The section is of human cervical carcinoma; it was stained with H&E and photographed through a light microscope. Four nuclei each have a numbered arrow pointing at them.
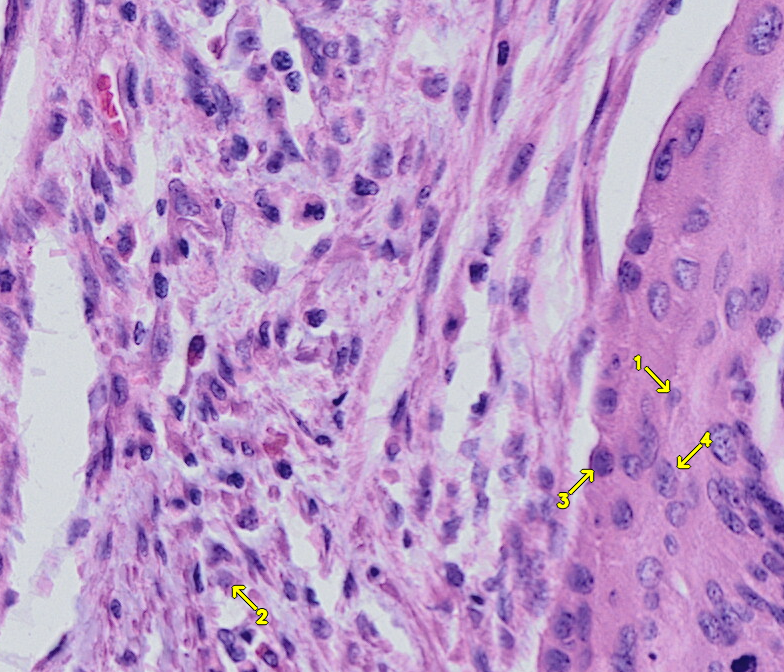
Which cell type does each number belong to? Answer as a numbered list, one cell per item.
1. squamous carcinoma cell
2. fibroblast
3. squamous carcinoma cell
4. squamous carcinoma cell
